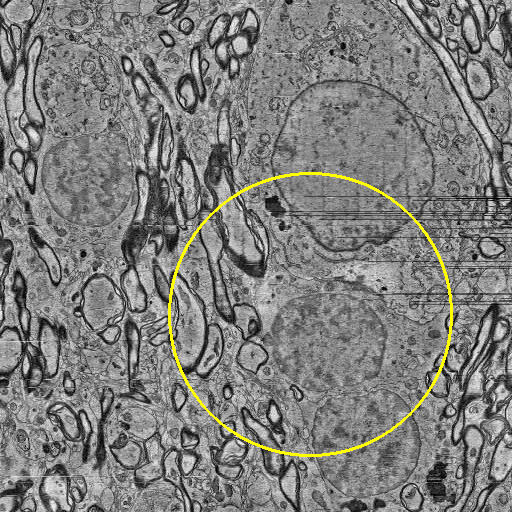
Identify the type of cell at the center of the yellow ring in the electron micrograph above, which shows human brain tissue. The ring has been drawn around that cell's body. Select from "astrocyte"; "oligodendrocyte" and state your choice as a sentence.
The yellow ring is centered on the body of an oligodendrocyte.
